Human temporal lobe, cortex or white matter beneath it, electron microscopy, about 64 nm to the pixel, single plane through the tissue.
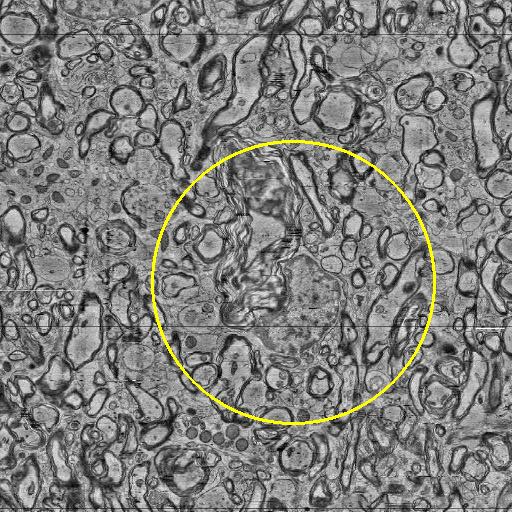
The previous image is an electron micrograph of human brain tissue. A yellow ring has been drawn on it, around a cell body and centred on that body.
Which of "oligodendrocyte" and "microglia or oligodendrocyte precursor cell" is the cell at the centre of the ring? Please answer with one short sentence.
The cell body at the centre of the ring belongs to an oligodendrocyte.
